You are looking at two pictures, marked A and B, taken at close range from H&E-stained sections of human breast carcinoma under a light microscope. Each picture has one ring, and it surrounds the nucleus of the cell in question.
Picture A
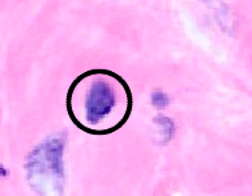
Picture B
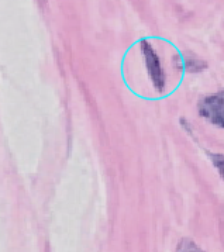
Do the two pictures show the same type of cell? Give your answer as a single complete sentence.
No, picture A shows a lymphocyte and picture B shows a fibroblast.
